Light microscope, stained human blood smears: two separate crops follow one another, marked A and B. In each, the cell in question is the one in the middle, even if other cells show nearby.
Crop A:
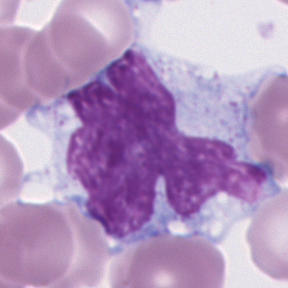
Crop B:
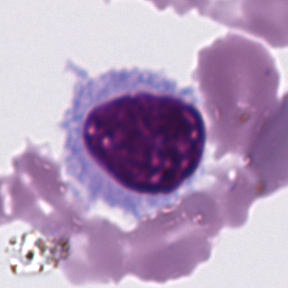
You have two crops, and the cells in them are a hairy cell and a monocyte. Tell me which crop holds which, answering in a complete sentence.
Crop A is classified as a monocyte, and crop B as a hairy cell.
